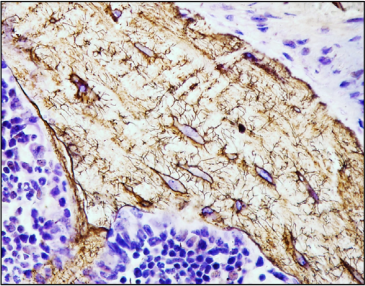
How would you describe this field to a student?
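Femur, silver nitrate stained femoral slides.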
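Bone trabecula stained brown, with elongated osteocytes carrying purple nuclei lying singly in lacunae aligned along the long axis of the matrix. A dense web of fine dark canaliculi runs through the matrix between the cells.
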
